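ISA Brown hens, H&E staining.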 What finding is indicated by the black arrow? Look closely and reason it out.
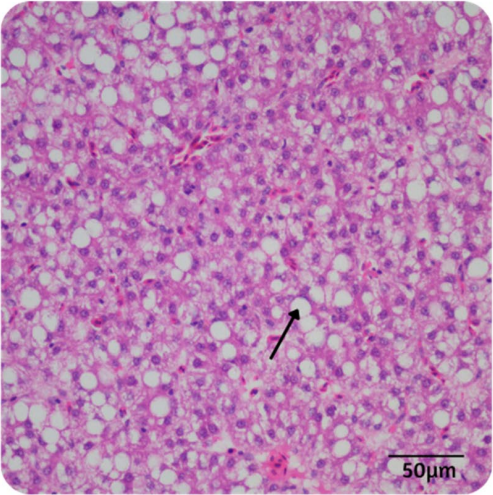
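Numerous round clear vacuoles are scattered through the cytoplasm of the cells. The arrow points at a round clear vacuole. The answer: Steatosis.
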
